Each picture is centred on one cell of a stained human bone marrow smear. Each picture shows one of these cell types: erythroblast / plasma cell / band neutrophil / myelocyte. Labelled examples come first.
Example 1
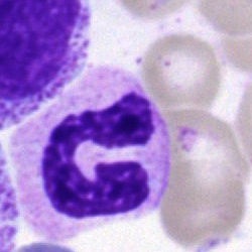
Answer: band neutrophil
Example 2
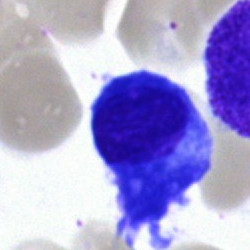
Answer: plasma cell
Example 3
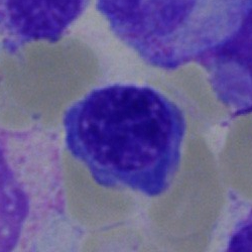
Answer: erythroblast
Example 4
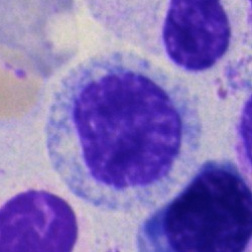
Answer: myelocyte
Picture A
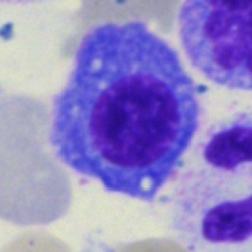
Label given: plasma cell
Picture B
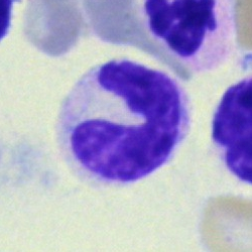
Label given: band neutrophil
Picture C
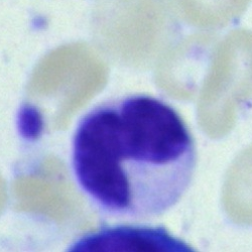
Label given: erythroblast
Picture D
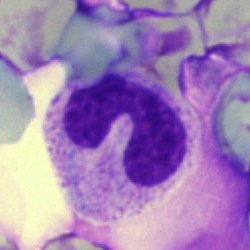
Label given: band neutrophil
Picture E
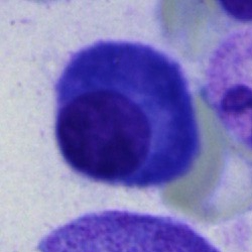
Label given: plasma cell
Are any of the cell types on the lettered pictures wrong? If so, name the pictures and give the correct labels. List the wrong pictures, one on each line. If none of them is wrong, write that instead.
C should be band neutrophil, not erythroblast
